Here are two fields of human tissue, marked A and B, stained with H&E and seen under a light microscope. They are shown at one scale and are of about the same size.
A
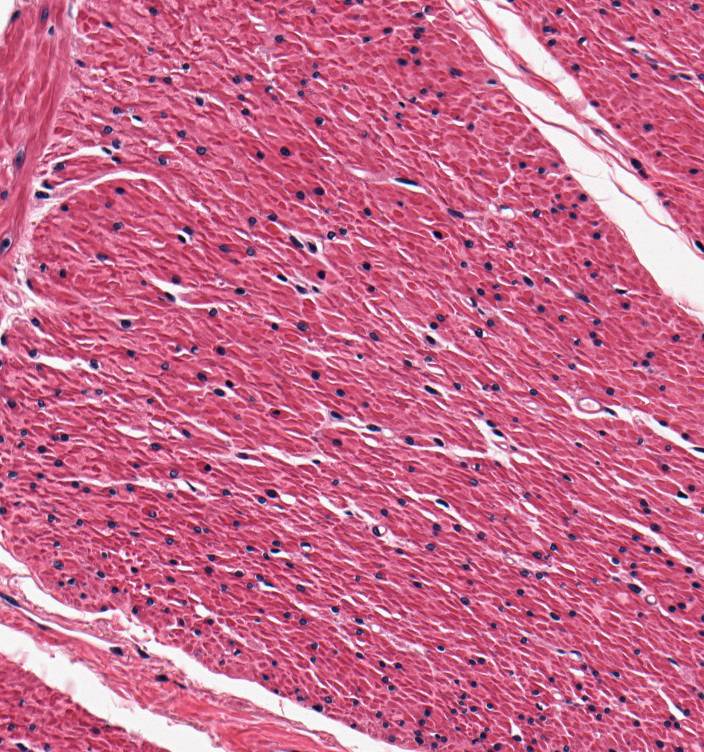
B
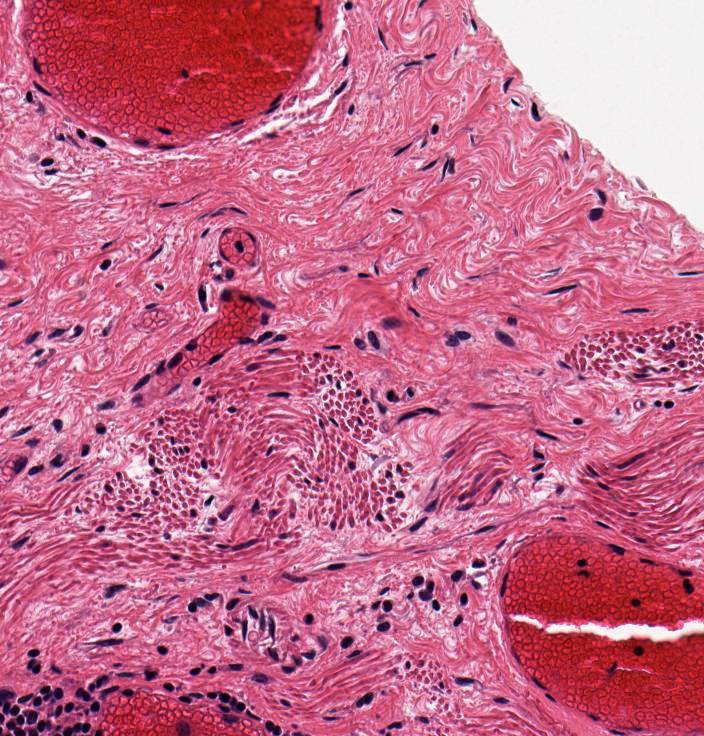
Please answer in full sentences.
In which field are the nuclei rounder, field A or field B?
It is field A whose nuclei are the rounder.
